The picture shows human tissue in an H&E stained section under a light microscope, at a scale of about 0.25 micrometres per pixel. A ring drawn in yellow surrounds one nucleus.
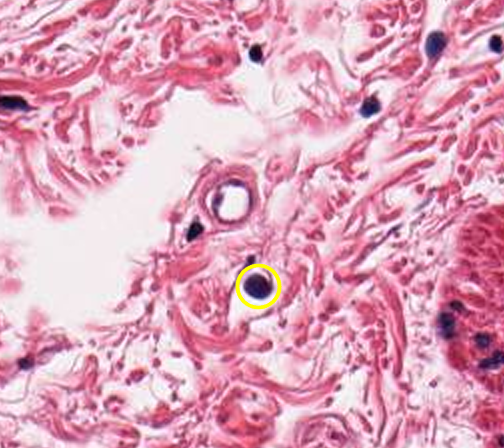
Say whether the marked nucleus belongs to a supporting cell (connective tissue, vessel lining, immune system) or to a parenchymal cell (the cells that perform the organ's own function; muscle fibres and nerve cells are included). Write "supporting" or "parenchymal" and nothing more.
supporting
